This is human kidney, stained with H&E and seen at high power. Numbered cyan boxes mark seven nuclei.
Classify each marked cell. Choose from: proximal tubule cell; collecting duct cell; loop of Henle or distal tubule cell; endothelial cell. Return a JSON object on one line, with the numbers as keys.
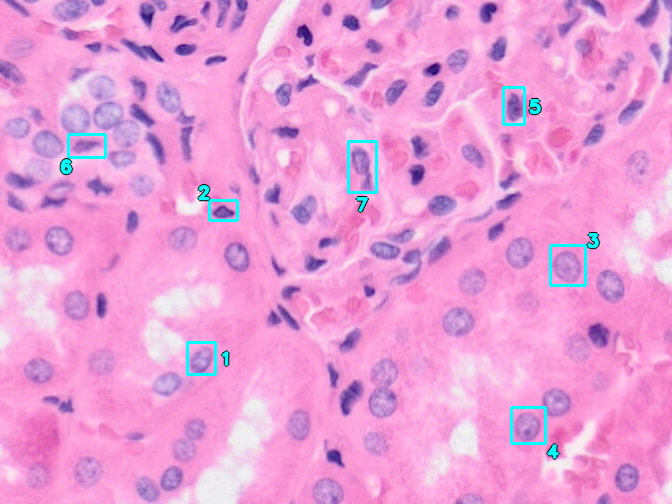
{"1": "proximal tubule cell", "2": "endothelial cell", "3": "proximal tubule cell", "4": "proximal tubule cell", "5": "endothelial cell", "6": "collecting duct cell", "7": "endothelial cell"}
